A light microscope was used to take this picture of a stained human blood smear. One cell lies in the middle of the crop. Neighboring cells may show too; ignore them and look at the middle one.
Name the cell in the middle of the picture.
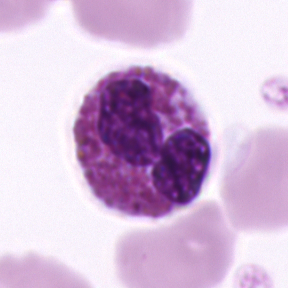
eosinophil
